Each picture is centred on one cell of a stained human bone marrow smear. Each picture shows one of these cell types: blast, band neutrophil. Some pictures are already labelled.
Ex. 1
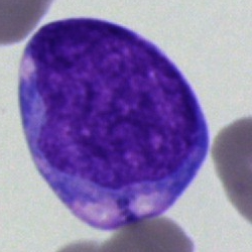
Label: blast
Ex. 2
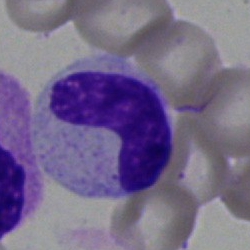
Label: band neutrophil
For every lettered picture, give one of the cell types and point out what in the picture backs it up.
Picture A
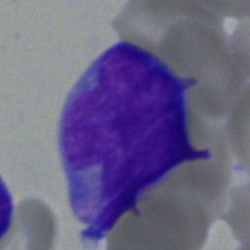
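blast. Evidence: The chromatin looks finely dispersed, not coarsely clumped.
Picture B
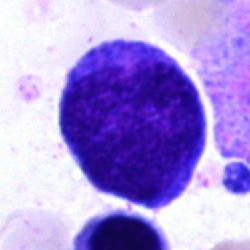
blast. Evidence: Cytoplasm is scant, at most a thin rim around the nucleus.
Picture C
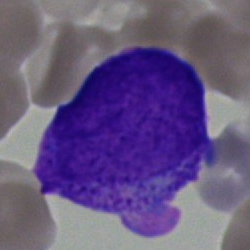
blast. Evidence: The dark purple nucleus fills most of the cell.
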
